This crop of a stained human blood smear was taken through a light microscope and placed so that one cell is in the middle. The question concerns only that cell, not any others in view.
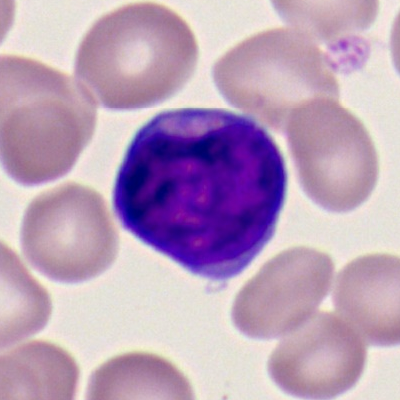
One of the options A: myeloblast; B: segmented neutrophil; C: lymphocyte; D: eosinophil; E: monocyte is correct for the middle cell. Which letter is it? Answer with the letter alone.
A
